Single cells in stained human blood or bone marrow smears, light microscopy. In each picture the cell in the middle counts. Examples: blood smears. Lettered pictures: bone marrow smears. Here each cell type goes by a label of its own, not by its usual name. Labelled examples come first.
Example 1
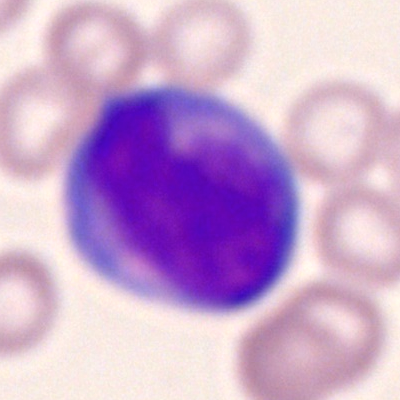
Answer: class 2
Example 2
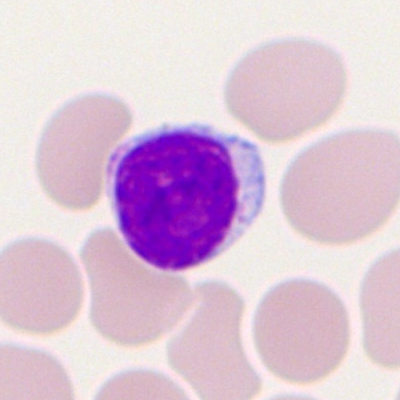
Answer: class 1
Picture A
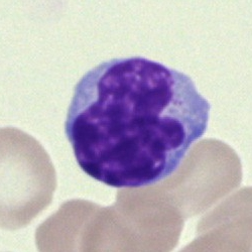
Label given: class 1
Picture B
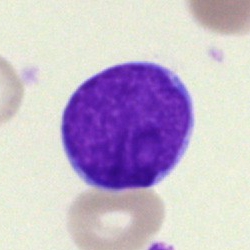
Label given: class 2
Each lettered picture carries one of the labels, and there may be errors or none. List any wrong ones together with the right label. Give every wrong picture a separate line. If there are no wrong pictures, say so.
No label is wrong.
